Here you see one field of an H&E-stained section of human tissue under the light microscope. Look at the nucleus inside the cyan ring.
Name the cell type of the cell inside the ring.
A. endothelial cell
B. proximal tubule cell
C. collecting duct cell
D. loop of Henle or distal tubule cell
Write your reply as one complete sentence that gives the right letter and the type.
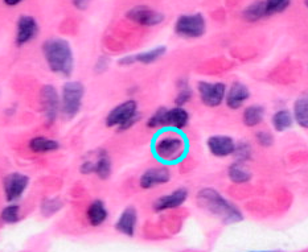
In this section the cell inside the ring is an endothelial cell; option A is therefore correct.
